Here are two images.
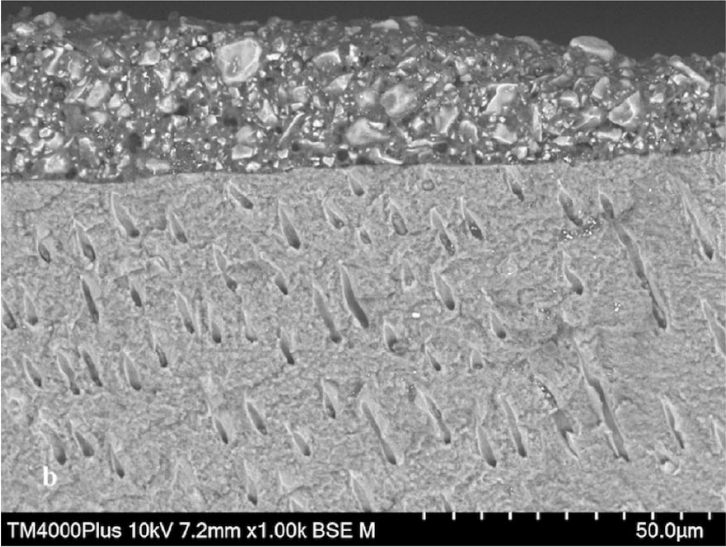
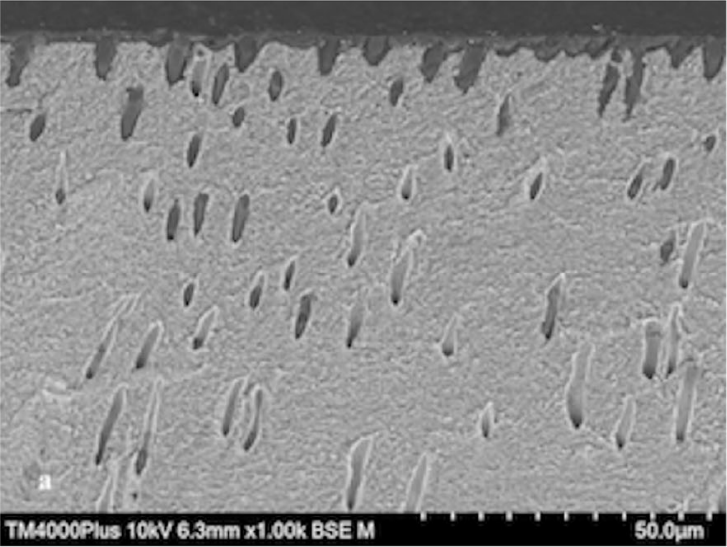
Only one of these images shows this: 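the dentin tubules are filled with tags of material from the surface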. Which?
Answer: The second image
